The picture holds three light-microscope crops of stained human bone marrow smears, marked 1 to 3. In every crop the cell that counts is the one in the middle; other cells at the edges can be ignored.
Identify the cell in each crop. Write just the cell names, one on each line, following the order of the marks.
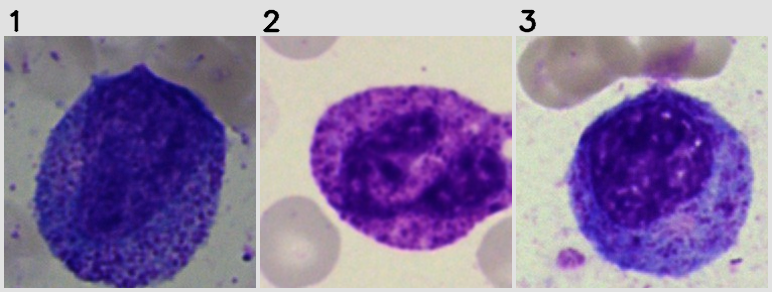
promyelocyte
basophil
promyelocyte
